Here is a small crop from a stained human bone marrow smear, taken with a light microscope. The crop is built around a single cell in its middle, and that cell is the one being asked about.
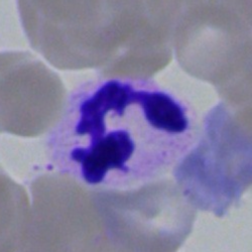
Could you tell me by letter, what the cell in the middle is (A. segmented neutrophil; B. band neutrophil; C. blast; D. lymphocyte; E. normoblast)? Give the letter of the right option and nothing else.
A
